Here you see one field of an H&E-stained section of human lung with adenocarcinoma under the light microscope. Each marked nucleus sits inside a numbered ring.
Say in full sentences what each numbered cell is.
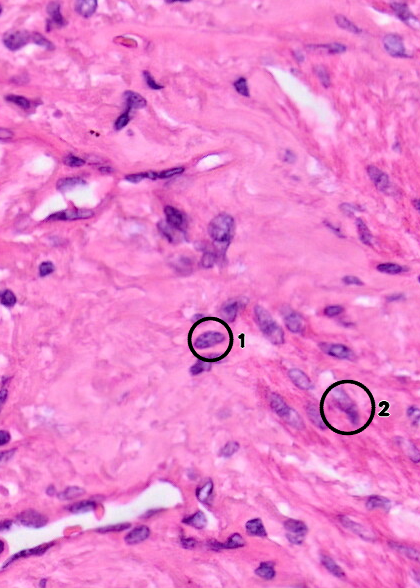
Cell 1 is a mast cell. Cell 2 is a smooth muscle cell or pericyte.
